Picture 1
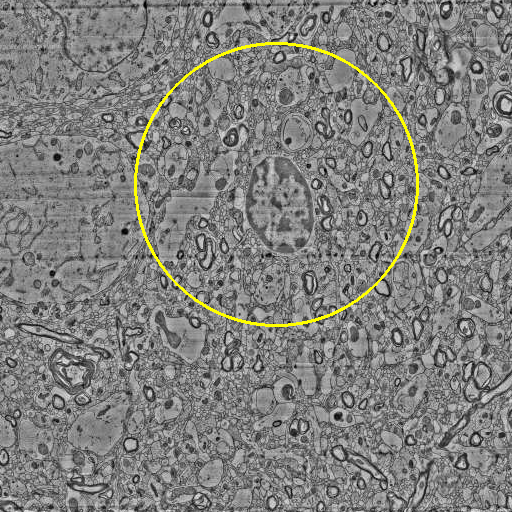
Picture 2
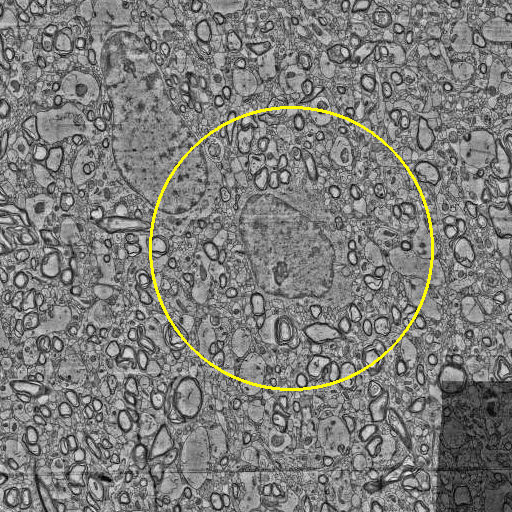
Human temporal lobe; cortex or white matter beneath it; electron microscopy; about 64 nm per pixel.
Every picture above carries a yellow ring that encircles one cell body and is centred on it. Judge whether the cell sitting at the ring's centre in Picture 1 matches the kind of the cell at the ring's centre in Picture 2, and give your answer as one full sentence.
No, the cells centred in the rings of Pictures 1 and 2 belong to two kinds.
